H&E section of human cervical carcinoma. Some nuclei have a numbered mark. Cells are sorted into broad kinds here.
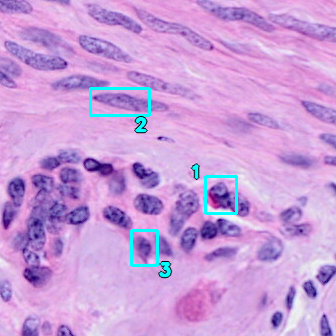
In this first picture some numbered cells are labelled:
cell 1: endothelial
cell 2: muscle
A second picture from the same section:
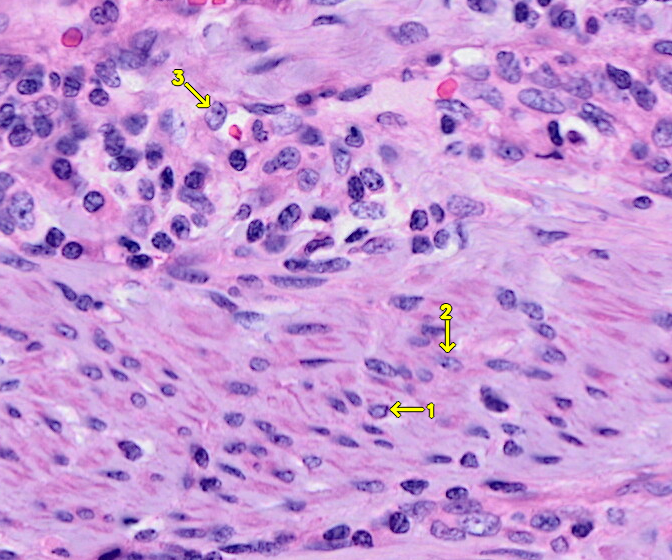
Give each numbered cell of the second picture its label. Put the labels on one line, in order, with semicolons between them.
muscle; muscle; endothelial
